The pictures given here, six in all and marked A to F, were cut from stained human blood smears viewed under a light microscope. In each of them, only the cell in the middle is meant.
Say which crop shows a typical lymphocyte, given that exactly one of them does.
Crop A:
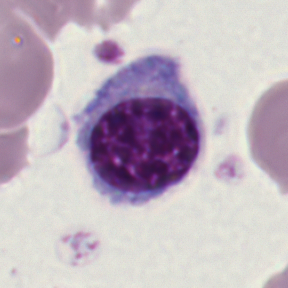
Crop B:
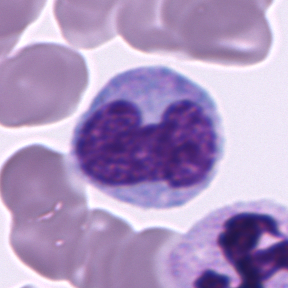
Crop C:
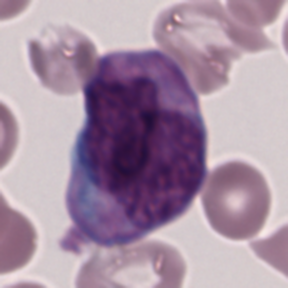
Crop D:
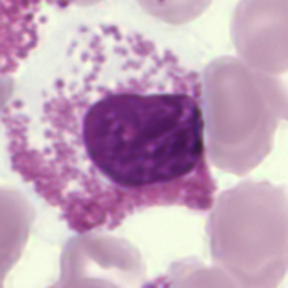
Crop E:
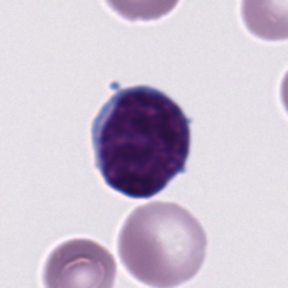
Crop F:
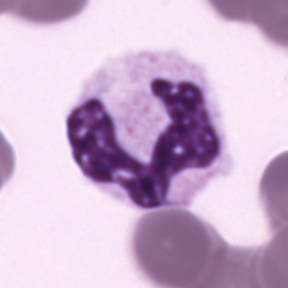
E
